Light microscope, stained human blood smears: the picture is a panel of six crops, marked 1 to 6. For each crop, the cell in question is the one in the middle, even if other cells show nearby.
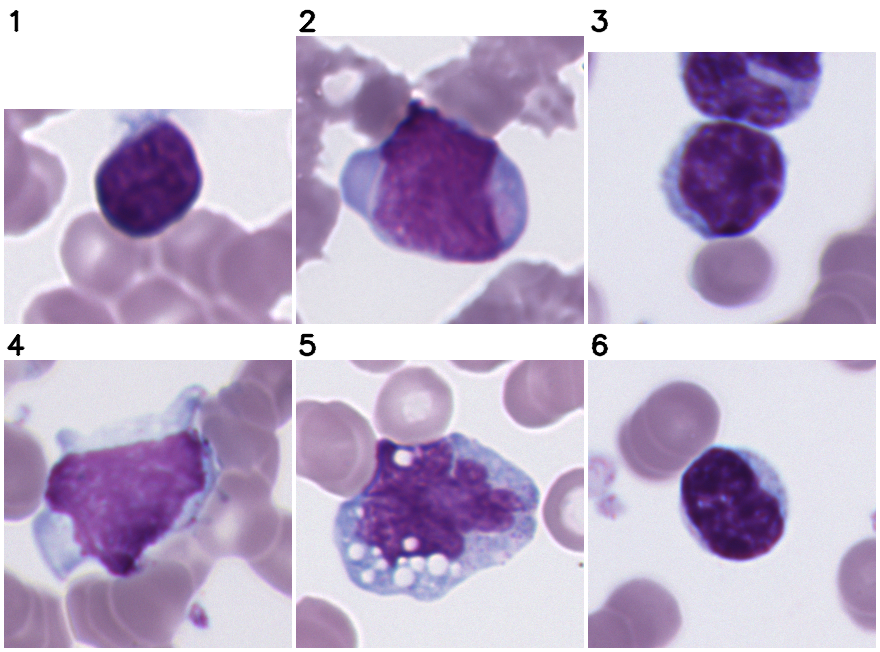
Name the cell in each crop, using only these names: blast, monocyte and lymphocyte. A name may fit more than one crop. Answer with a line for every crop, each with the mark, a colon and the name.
1: lymphocyte
2: blast
3: lymphocyte
4: lymphocyte
5: blast
6: lymphocyte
